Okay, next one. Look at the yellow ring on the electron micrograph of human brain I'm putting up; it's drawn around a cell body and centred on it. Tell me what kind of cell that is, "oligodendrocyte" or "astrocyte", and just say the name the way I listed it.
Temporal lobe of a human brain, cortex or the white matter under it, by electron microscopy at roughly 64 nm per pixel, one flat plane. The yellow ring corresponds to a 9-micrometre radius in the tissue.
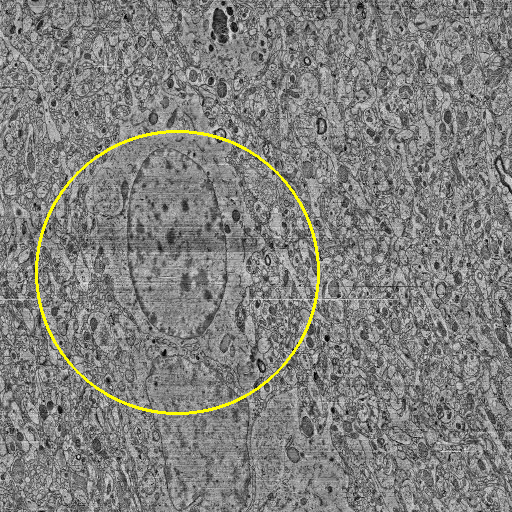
astrocyte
